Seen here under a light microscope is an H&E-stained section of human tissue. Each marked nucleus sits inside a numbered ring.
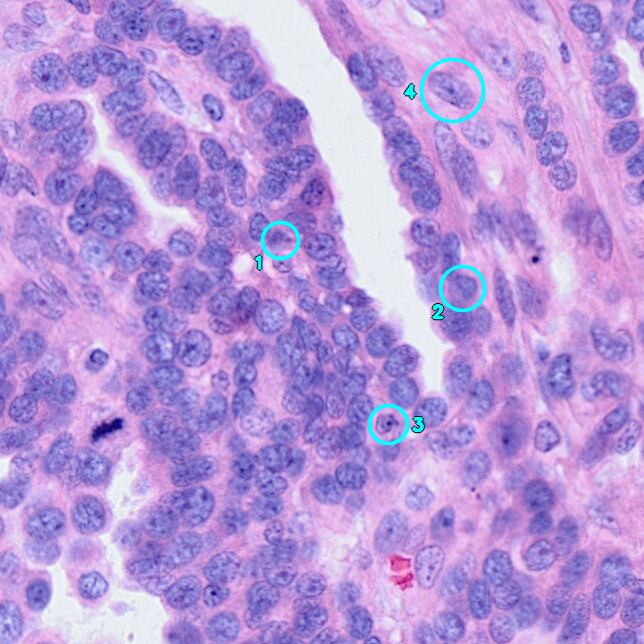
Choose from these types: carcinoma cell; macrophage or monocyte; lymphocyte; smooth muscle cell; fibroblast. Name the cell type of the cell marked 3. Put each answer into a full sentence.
The marked cell bearing number 3 is a macrophage or monocyte.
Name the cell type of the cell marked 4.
The cell that carries the label 4 is a fibroblast.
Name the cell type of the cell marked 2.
Heads up, the cell numbered 2 is a carcinoma cell.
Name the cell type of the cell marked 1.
The nucleus labelled 1 belongs to a carcinoma cell.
